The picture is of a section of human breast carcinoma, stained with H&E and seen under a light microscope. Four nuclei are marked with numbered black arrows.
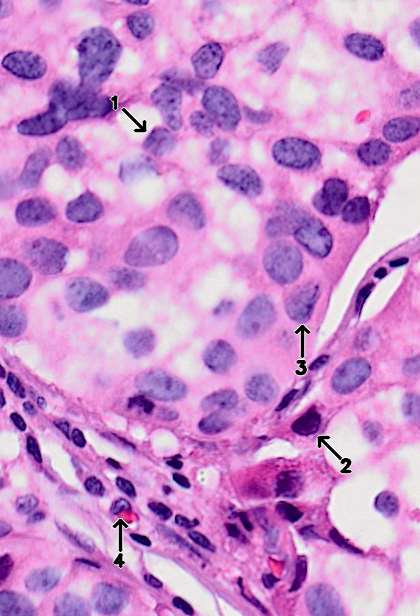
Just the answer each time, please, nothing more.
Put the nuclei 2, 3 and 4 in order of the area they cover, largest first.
3, 2, 4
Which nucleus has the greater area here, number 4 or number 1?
1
